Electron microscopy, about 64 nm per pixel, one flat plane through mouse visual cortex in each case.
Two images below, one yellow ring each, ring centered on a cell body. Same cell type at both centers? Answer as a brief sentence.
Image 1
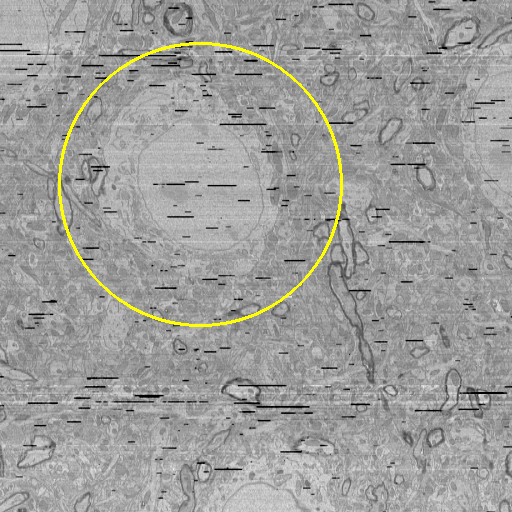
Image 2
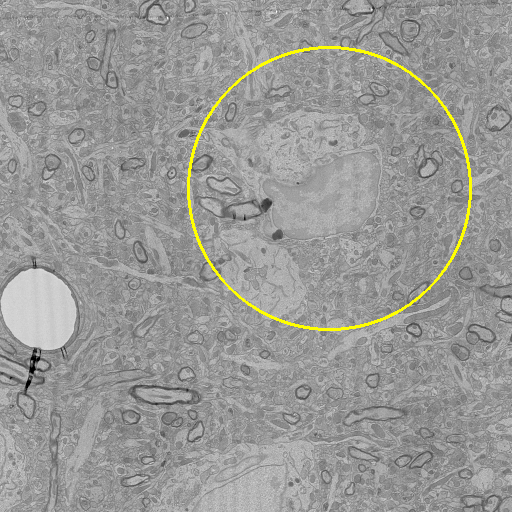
No, the cells are of two separate types.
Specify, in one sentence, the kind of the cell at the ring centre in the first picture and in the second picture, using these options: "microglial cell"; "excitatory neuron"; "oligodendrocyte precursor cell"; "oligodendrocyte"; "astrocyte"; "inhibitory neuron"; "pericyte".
So the first is an excitatory neuron, the second a microglial cell.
